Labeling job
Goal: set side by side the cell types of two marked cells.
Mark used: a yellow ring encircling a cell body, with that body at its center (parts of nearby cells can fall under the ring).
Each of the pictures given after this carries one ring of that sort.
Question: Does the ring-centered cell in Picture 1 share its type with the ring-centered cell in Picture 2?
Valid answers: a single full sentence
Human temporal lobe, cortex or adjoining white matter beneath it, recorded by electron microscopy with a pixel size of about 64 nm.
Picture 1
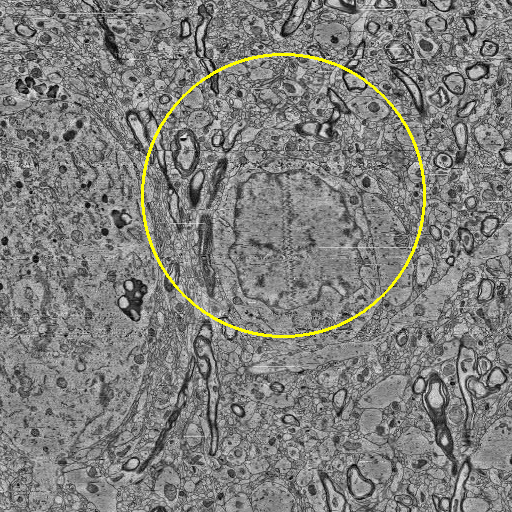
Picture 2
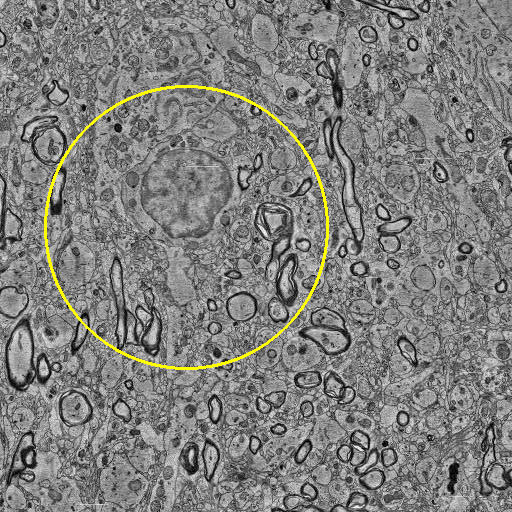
No, in Pictures 1 and 2 the cells at the ring centers have separate types.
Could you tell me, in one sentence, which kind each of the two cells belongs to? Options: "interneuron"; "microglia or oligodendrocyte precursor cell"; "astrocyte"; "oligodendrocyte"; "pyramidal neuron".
At the centre of the first ring sits an interneuron, and at the centre of the second sits an oligodendrocyte.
